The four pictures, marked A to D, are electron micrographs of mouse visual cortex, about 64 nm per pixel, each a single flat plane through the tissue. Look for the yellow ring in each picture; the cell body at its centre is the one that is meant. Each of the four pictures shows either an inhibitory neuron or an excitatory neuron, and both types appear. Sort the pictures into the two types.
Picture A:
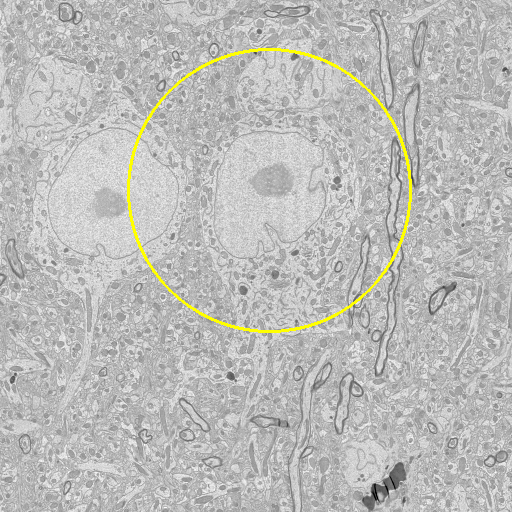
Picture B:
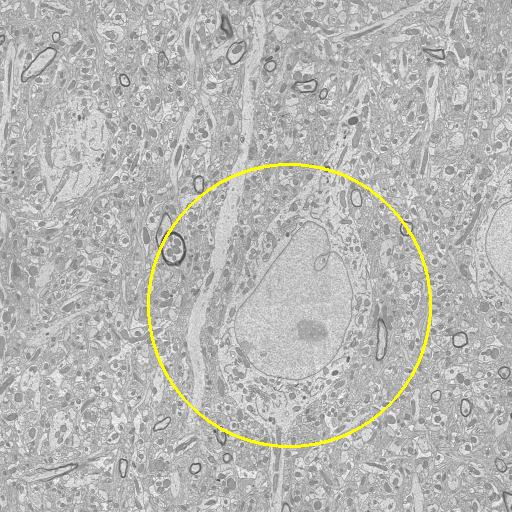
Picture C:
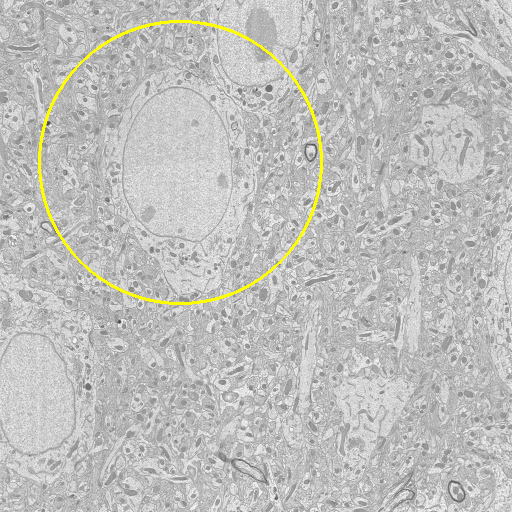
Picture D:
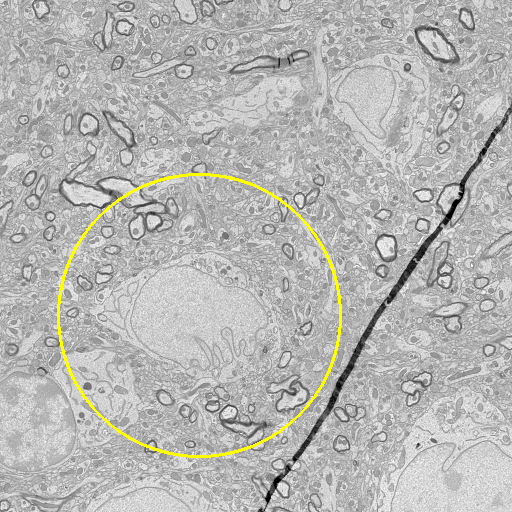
Pictures A, B and D show inhibitory neurons, while picture C shows an excitatory neuron.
